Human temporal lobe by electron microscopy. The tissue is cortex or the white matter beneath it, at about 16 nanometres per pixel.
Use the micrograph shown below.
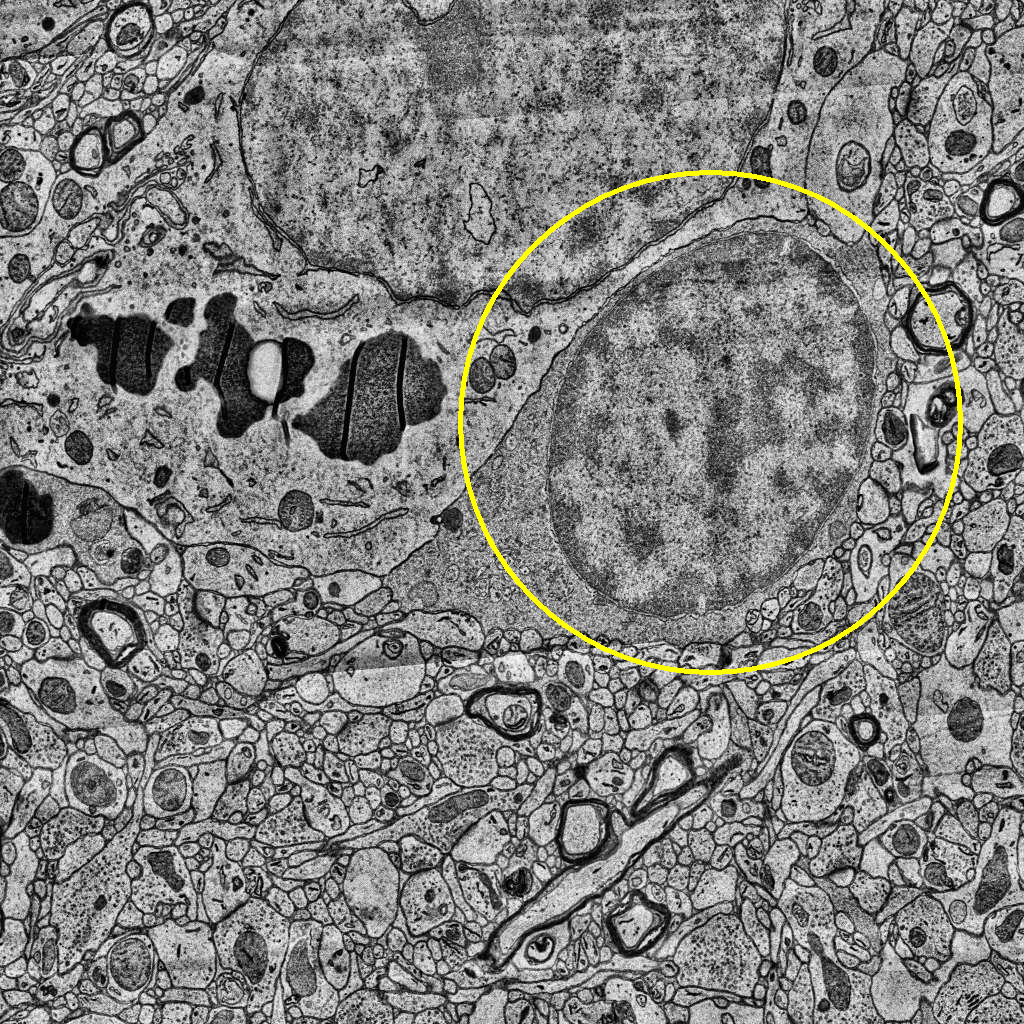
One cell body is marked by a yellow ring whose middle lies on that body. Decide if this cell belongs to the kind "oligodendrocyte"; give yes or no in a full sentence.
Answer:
Yes, the cell at the ring's middle in the micrograph is of the kind given.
